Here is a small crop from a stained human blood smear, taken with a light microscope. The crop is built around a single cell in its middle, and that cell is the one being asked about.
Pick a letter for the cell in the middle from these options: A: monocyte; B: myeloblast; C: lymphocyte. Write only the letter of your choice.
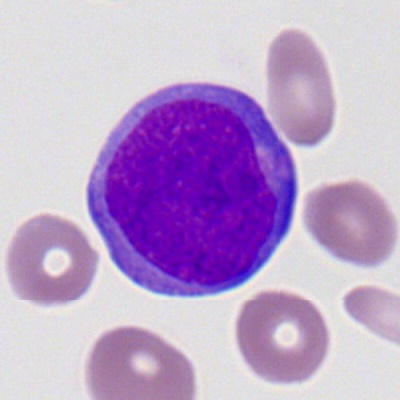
B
